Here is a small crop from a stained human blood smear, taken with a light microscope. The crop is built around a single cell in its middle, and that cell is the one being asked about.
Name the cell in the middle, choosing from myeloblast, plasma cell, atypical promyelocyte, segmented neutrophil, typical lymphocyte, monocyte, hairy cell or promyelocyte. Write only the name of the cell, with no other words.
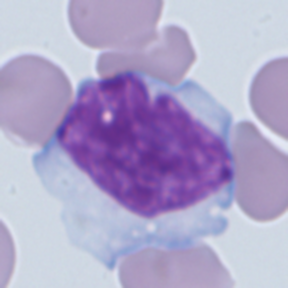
myeloblast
